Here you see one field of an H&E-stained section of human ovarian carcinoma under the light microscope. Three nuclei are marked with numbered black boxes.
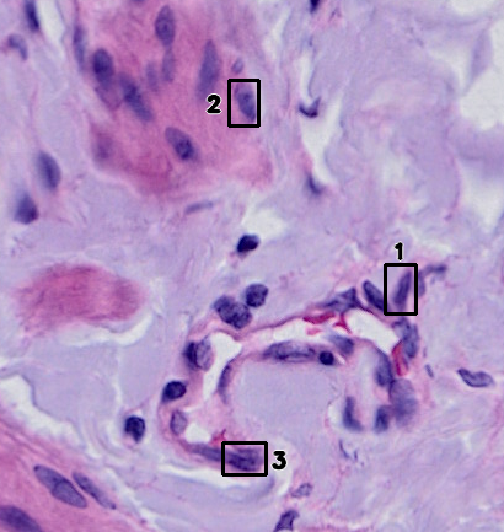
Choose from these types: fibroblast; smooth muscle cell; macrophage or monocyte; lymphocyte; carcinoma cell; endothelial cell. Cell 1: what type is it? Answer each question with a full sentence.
The cell carrying label 1 is identified as an endothelial cell.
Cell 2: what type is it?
The cell assigned the number 2 is a smooth muscle cell.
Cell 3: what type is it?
The nucleus marked 3 is the nucleus of an endothelial cell.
